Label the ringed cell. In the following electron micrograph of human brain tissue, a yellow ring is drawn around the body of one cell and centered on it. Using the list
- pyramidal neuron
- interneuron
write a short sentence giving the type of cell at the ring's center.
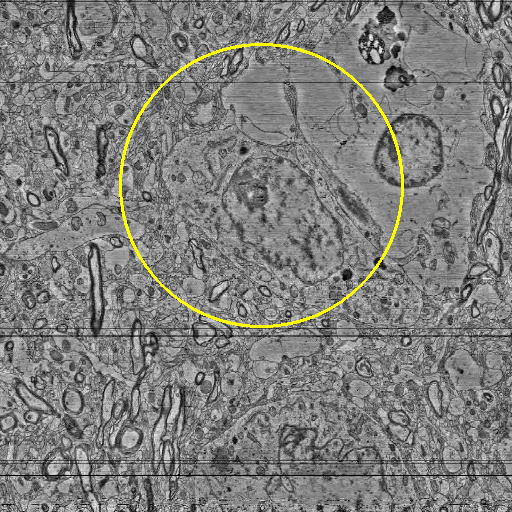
The cell body at the ring's center is that of an interneuron.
